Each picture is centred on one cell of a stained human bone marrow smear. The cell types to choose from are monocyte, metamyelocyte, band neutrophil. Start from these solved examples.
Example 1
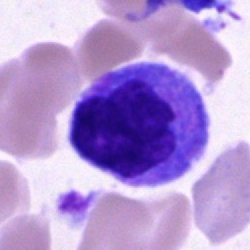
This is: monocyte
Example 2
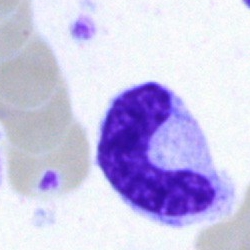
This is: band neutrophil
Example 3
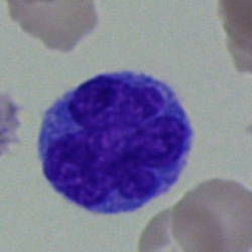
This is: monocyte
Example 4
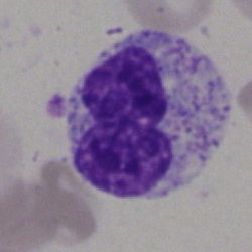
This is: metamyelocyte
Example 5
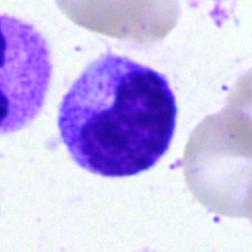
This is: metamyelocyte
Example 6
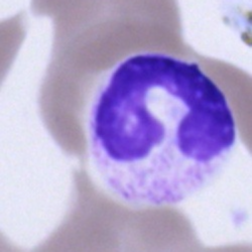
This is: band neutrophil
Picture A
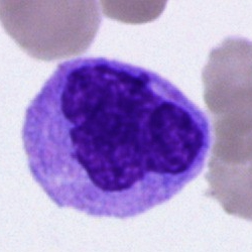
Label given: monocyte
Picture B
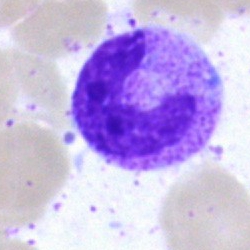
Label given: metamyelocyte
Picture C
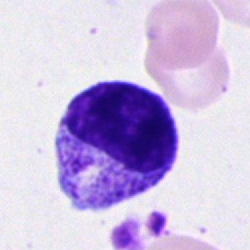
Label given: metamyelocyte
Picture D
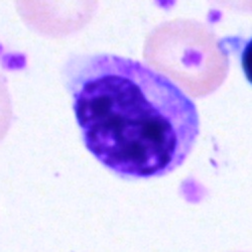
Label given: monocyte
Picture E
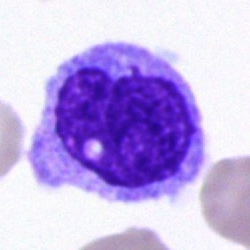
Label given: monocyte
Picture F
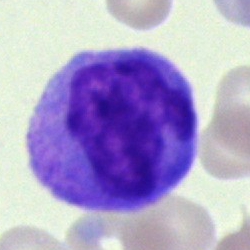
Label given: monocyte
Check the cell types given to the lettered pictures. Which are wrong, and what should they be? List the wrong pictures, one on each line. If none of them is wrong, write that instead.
Wrong: D (monocyte); correct: metamyelocyte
